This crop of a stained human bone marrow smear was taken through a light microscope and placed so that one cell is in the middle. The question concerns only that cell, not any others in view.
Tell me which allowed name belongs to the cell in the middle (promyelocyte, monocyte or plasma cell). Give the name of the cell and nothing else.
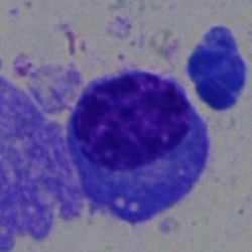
plasma cell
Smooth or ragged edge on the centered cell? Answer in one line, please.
The membrane contour is even and smooth, with nothing projecting from it.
